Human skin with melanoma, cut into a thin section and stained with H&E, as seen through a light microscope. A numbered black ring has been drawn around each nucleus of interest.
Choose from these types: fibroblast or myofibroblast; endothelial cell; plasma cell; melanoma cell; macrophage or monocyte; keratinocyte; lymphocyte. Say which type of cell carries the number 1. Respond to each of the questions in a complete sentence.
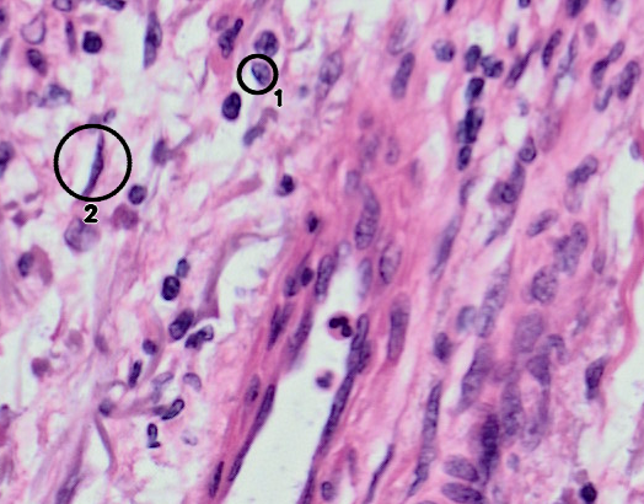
Cell 1 of the marked set is a lymphocyte.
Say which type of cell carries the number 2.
The cell referred to as 2 is a fibroblast or myofibroblast.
